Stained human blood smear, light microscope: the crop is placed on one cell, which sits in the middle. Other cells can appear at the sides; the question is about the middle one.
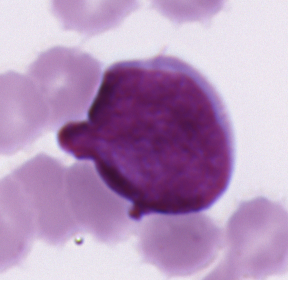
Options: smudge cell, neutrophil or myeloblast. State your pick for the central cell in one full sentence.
The cell featured at the centre of this crop is a myeloblast.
